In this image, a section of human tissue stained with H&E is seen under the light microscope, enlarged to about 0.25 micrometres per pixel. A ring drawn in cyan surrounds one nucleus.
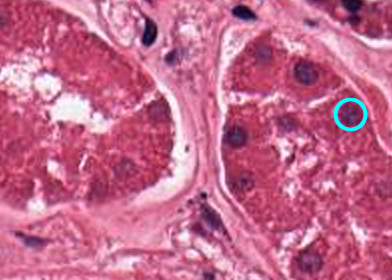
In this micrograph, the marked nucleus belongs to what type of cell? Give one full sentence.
The cell that the marked nucleus belongs to is a proximal tubule cell.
